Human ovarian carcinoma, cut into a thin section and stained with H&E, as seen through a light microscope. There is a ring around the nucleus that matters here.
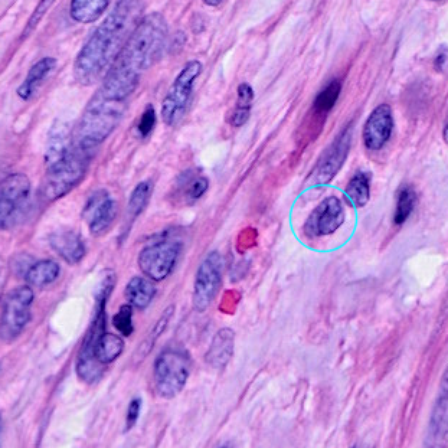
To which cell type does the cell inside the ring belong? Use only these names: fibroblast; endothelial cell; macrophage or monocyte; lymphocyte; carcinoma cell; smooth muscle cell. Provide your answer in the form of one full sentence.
The cell type represented by the cell inside the ring is that of a macrophage or monocyte.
